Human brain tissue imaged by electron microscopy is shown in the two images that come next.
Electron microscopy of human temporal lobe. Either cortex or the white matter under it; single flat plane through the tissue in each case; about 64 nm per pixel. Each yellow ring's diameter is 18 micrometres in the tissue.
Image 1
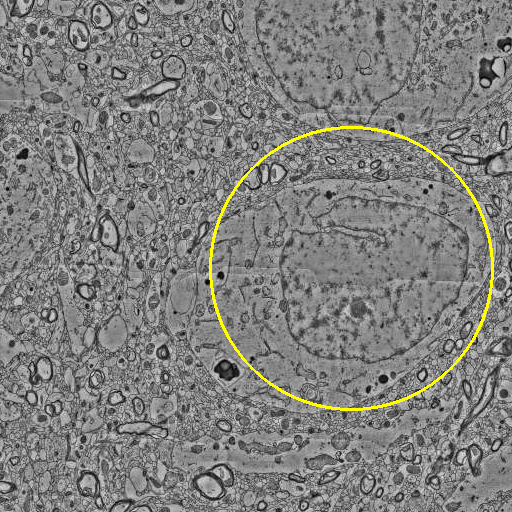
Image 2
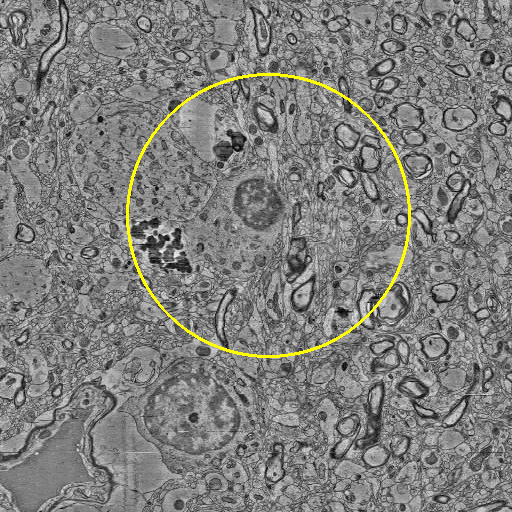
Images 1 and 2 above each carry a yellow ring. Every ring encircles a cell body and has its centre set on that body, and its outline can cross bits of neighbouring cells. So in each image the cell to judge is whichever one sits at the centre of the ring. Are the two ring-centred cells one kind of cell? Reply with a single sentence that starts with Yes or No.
No, in Image 1 and Image 2 the cells at the centres of their rings fall into two types.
